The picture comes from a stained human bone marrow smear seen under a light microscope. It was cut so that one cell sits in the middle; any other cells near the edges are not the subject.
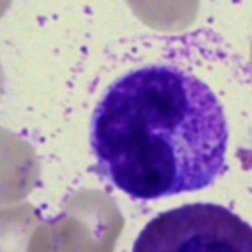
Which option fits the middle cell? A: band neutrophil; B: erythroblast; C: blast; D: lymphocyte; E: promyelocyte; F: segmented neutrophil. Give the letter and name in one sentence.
The cell at the heart of the crop is a band neutrophil, so choose option A.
